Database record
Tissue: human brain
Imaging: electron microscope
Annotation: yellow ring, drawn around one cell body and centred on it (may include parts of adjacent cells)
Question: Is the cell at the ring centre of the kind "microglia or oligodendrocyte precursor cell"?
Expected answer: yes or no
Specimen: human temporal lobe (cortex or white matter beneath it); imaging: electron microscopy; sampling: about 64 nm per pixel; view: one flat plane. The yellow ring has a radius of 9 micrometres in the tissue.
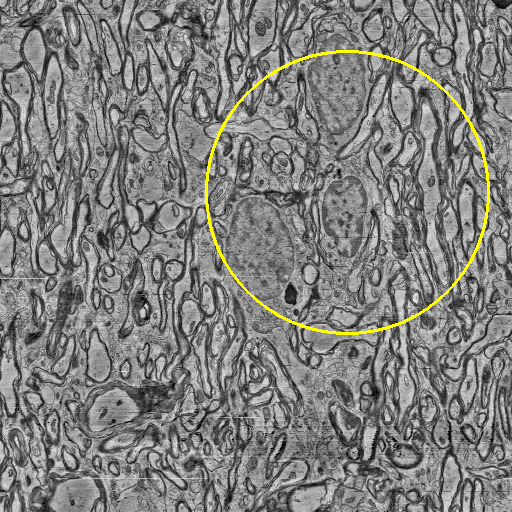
yes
